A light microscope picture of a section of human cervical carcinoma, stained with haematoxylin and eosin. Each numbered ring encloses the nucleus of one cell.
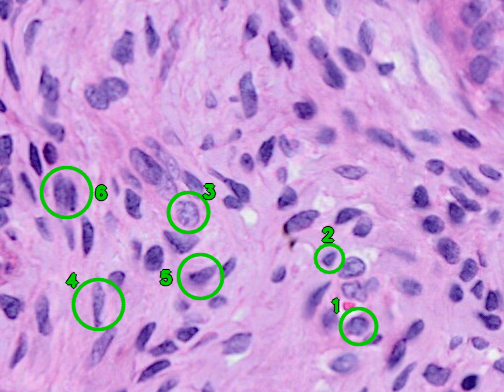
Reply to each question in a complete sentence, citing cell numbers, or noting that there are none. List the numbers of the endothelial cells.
The cells carrying labels 1 and 3 are endothelial cells.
